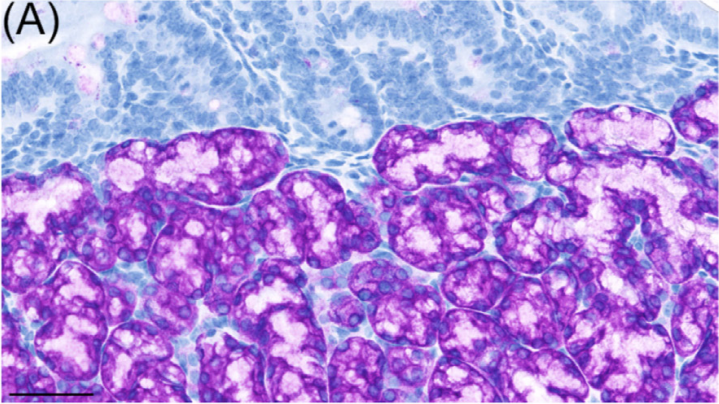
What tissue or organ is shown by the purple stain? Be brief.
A: Brunner's gland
